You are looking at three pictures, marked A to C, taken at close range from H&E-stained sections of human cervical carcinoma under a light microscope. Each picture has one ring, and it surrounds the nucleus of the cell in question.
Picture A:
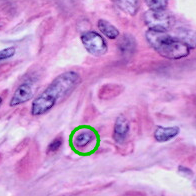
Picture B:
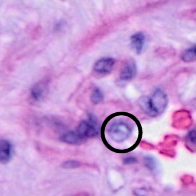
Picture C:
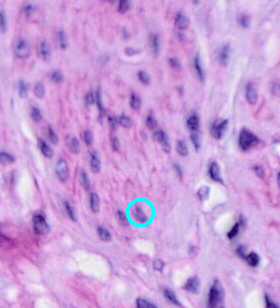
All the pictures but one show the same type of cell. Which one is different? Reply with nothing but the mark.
B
